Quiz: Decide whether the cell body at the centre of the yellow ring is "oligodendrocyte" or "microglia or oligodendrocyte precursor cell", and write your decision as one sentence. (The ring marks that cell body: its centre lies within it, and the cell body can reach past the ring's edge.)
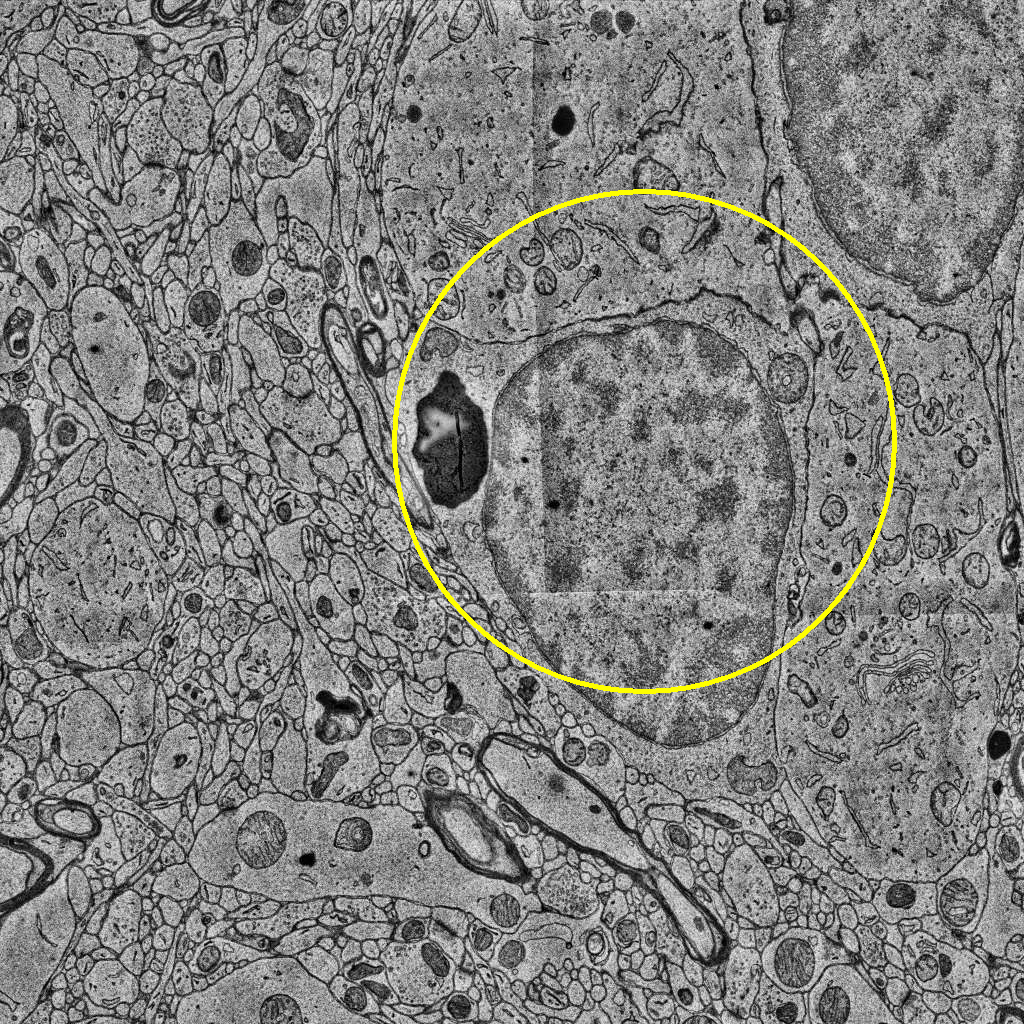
The cell holding the ring's centre is an oligodendrocyte.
